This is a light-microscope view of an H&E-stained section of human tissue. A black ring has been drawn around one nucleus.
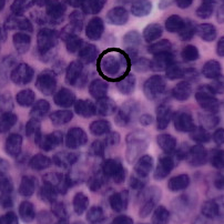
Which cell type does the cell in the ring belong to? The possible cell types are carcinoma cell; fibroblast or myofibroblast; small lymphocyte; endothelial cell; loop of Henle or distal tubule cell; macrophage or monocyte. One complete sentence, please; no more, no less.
To be brief about it, the cell in the ring is a small lymphocyte.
